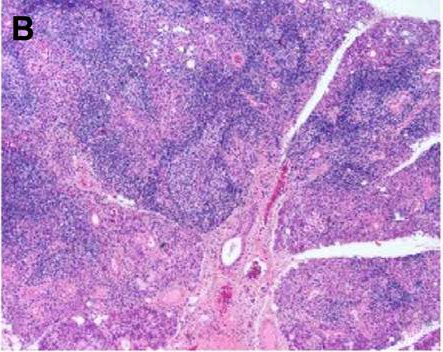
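At low power the tissue is divided into lobules separated by fibrotic tissue. Within the lobules, darker clusters of small cells alternate with slightly paler areas that hold scattered small glandular spaces. Bands of pale pink fibrous tissue run between the lobules and carry small blood vessels, some containing red cells. Narrow cleft-like spaces lie along parts of these bands.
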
